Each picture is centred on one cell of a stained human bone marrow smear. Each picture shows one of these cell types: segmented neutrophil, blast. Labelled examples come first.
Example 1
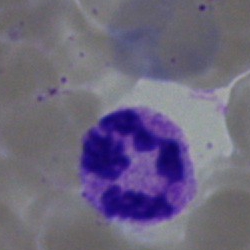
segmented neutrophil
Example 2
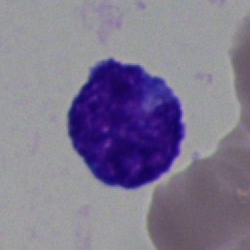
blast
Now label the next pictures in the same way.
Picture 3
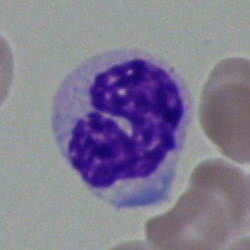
segmented neutrophil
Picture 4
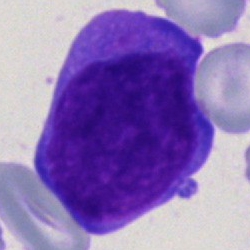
blast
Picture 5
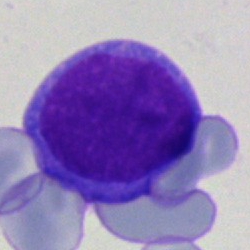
blast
